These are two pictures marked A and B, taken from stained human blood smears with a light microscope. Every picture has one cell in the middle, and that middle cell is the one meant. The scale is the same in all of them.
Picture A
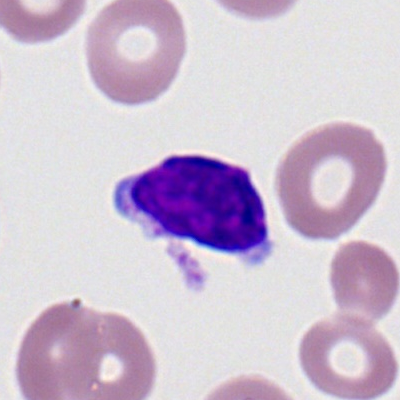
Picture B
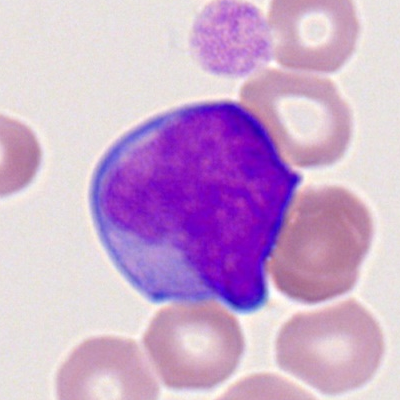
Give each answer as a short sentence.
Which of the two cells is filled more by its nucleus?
It is the cell in picture A that is filled more by its nucleus.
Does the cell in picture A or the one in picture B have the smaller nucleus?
Picture A shows the smaller nucleus, since that in picture B covers about 1.5 times as much area.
